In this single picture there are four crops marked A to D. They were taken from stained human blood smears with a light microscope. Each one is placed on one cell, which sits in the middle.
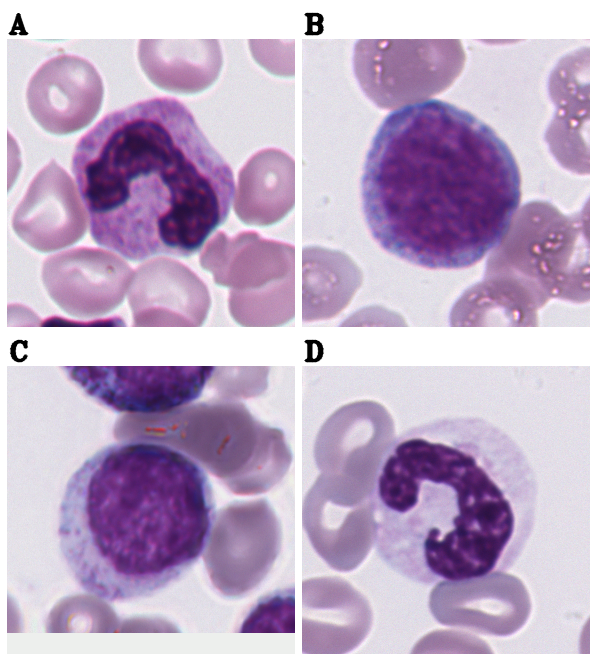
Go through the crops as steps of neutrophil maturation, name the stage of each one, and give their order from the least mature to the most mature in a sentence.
Along a scale from least to most mature, the order is crop B (a promyelocyte), crop C (a myelocyte), crop D (a band neutrophil) and crop A (a segmented neutrophil).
